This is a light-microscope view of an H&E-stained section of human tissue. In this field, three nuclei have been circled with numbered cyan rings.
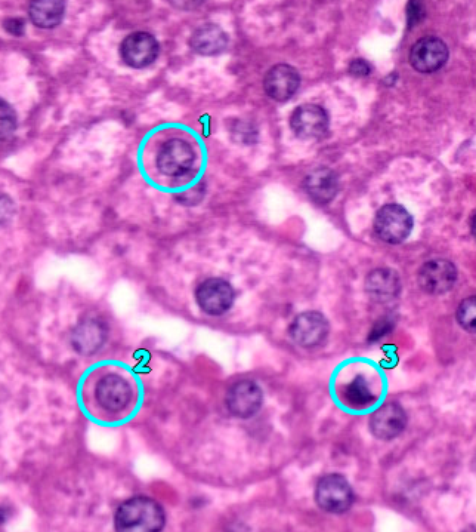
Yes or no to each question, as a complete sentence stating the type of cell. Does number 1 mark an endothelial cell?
No, the one with number 1 is a hepatocyte, not an endothelial cell.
